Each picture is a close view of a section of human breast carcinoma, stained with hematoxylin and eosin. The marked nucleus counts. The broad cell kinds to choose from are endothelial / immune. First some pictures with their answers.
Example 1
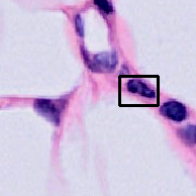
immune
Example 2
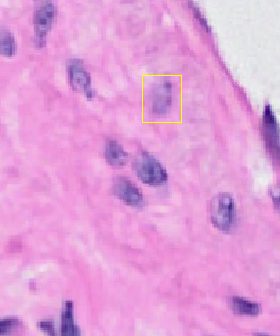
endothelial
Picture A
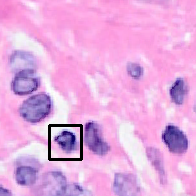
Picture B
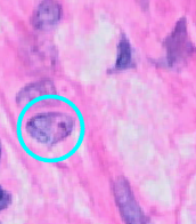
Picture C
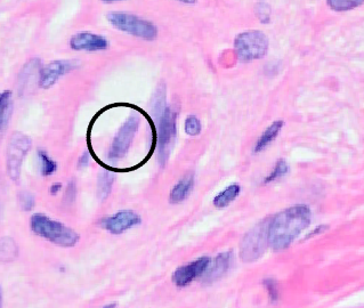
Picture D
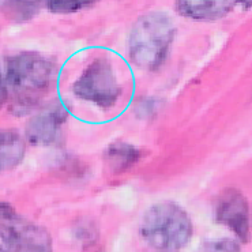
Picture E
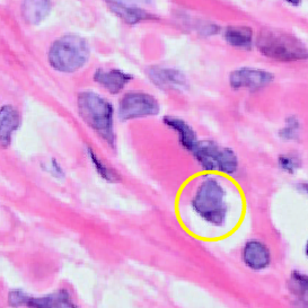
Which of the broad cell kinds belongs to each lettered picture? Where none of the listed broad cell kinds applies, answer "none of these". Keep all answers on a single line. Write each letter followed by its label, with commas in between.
A immune, B none of these, C endothelial, D none of these, E none of these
